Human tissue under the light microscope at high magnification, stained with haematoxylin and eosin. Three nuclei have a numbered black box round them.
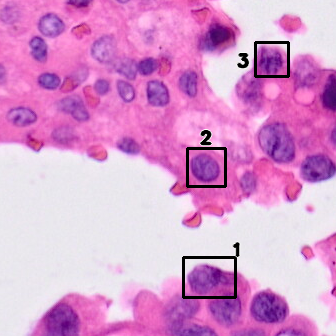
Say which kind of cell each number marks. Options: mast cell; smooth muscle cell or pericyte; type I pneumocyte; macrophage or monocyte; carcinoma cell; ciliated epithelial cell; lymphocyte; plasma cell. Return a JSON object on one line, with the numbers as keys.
{"1": "carcinoma cell", "2": "macrophage or monocyte", "3": "carcinoma cell"}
